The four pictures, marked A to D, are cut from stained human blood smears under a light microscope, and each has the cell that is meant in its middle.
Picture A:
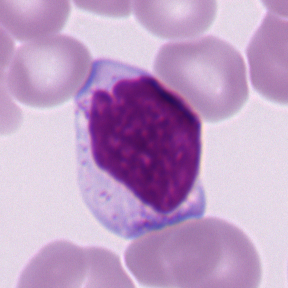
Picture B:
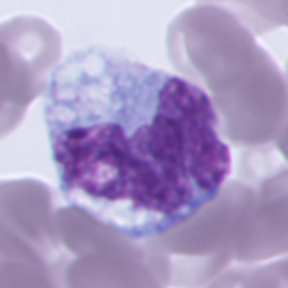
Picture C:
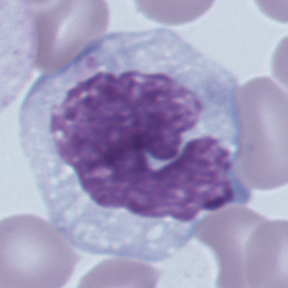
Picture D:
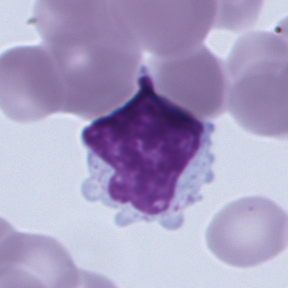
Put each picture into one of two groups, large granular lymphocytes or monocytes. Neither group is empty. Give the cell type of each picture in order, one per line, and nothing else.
large granular lymphocyte
monocyte
monocyte
large granular lymphocyte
